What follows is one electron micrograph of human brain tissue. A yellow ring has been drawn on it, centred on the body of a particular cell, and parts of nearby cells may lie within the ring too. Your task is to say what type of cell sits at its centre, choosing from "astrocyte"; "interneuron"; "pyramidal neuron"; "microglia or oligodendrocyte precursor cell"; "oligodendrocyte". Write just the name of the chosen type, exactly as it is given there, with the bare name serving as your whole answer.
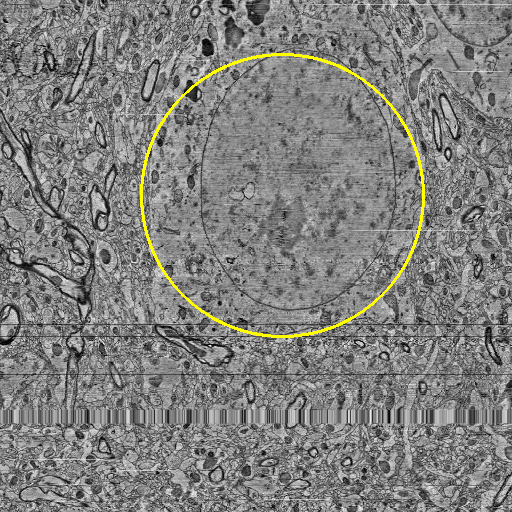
pyramidal neuron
